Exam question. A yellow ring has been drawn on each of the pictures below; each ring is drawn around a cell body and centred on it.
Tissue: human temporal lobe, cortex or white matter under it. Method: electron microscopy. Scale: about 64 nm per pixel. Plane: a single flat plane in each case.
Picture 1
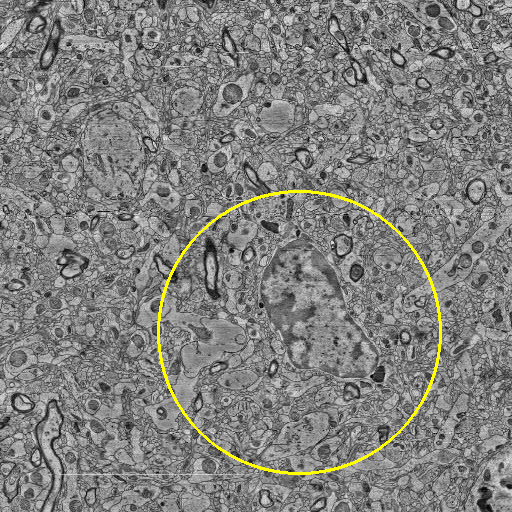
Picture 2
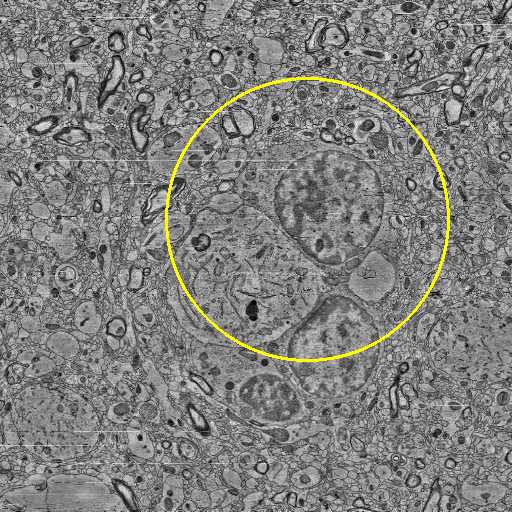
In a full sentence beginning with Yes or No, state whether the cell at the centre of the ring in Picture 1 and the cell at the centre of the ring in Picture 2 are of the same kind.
No, the cells are of two kinds.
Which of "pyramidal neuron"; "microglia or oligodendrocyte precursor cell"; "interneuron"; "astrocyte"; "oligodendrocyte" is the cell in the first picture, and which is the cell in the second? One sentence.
The two differ: the first cell is a microglial cell or oligodendrocyte precursor cell and the second is an oligodendrocyte.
